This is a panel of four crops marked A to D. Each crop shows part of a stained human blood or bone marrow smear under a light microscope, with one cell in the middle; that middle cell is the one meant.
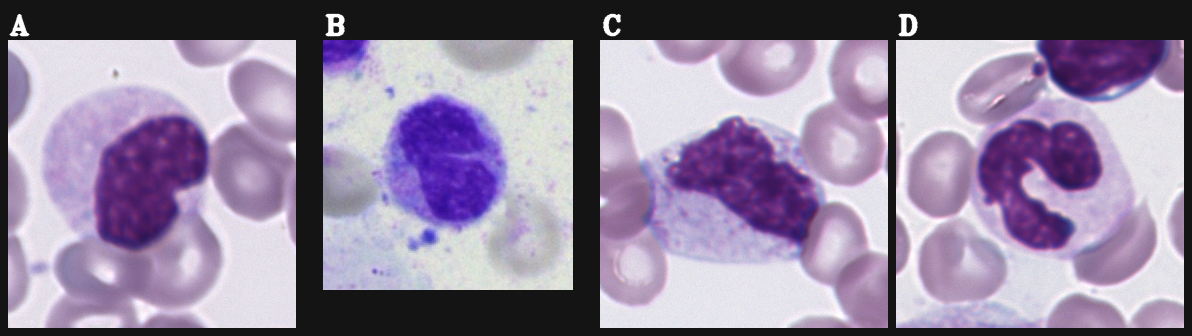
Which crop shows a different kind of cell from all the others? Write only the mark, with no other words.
B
